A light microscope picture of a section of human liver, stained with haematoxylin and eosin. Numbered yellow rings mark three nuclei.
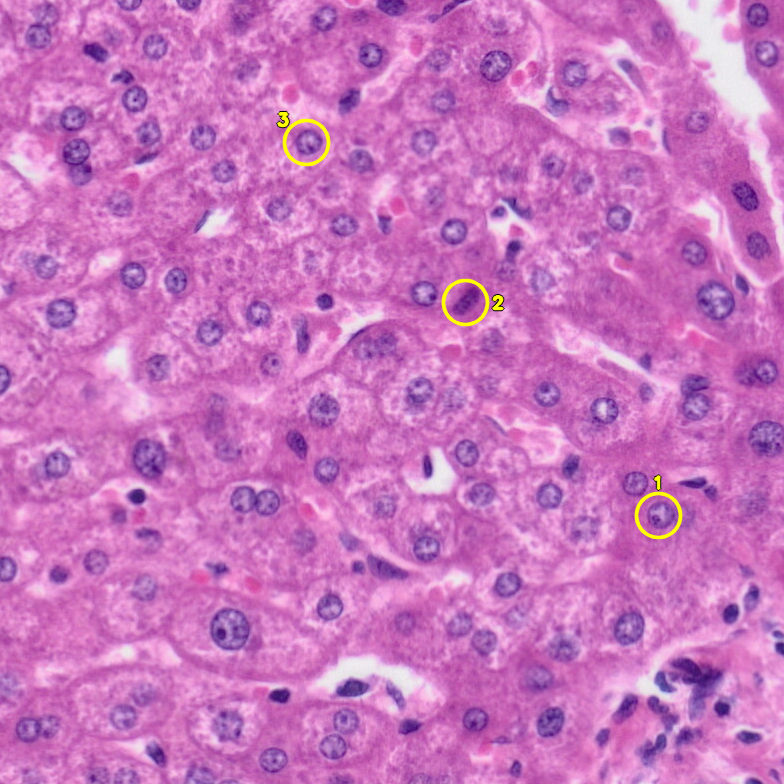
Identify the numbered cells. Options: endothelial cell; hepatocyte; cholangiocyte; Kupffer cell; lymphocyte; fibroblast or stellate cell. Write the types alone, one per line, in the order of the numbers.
hepatocyte
fibroblast or stellate cell
hepatocyte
